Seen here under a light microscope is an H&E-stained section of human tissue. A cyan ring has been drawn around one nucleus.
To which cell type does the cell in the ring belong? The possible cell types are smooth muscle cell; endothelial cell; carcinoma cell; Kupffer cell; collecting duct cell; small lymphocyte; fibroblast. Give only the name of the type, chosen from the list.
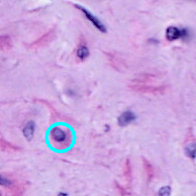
smooth muscle cell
